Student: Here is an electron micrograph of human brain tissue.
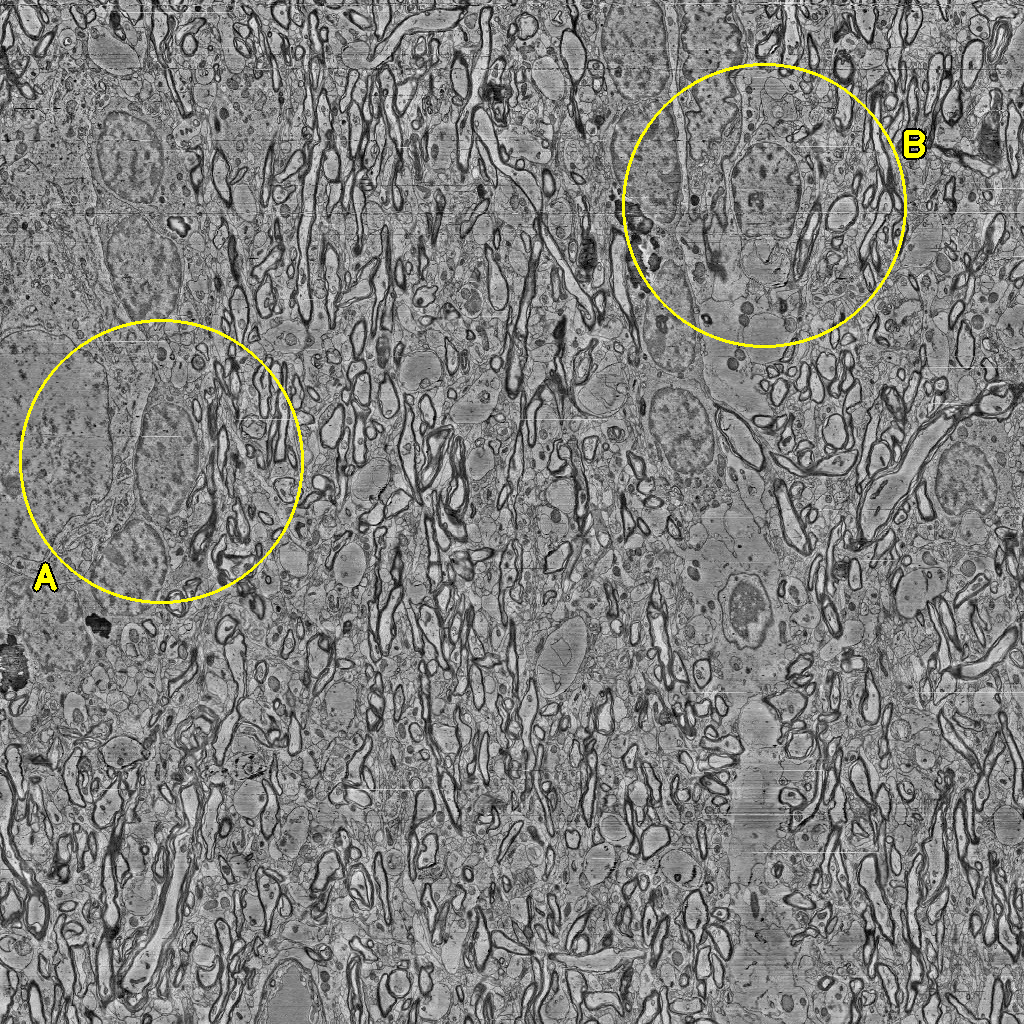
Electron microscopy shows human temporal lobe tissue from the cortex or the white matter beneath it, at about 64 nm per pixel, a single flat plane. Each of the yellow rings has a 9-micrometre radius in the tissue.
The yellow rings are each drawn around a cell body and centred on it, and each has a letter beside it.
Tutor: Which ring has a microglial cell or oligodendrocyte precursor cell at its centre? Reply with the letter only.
B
